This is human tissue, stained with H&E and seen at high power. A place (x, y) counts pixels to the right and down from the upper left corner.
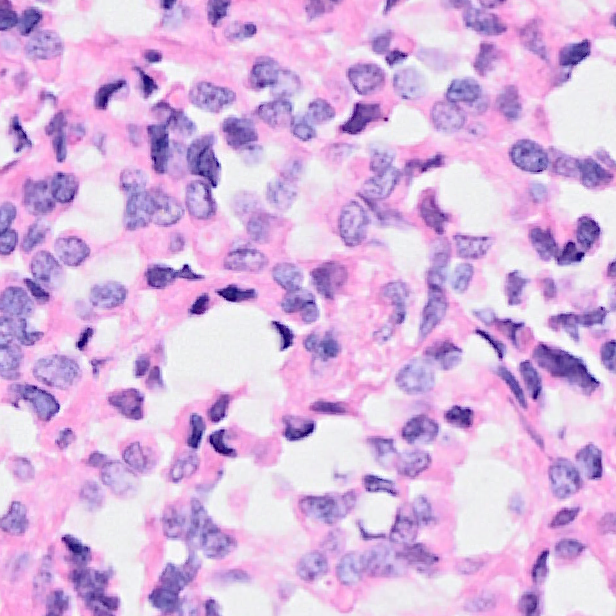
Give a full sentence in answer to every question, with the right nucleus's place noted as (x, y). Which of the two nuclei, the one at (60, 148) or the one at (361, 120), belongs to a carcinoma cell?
The nucleus located at (361, 120) is the one held within a carcinoma cell.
